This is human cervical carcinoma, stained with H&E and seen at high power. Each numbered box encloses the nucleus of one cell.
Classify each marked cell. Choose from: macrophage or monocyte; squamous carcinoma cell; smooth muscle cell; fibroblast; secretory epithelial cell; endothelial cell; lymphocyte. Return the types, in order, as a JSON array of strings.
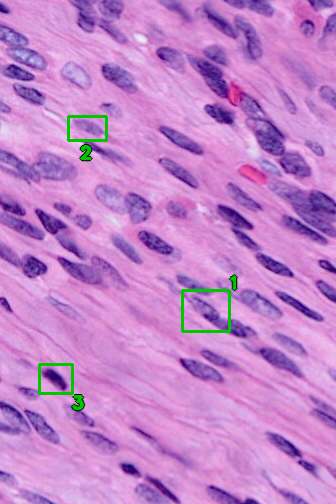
["fibroblast", "fibroblast", "lymphocyte"]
